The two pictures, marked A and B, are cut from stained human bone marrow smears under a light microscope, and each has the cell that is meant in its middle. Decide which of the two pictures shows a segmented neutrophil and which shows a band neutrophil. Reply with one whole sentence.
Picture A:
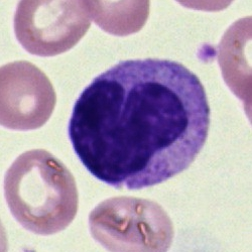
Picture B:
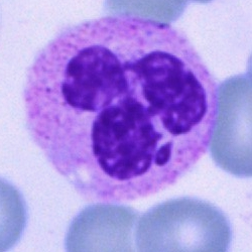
Picture A is of a band neutrophil, and picture B is of a segmented neutrophil.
